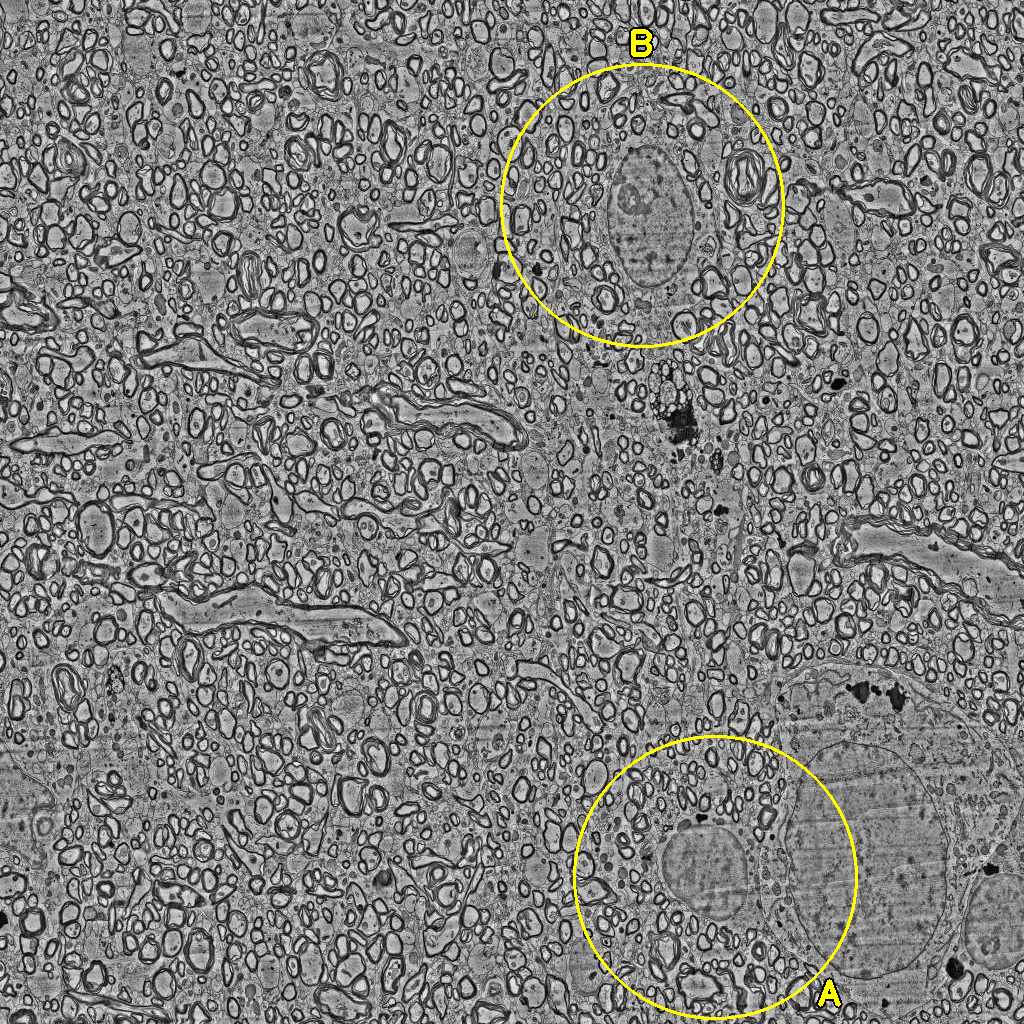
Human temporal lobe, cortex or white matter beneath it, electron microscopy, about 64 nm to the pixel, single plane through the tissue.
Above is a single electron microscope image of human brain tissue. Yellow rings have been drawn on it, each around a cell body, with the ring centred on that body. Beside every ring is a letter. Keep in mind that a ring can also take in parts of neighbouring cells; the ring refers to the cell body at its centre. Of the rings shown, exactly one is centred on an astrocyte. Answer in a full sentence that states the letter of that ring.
The cell at the centre of ring B is the one asked for.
